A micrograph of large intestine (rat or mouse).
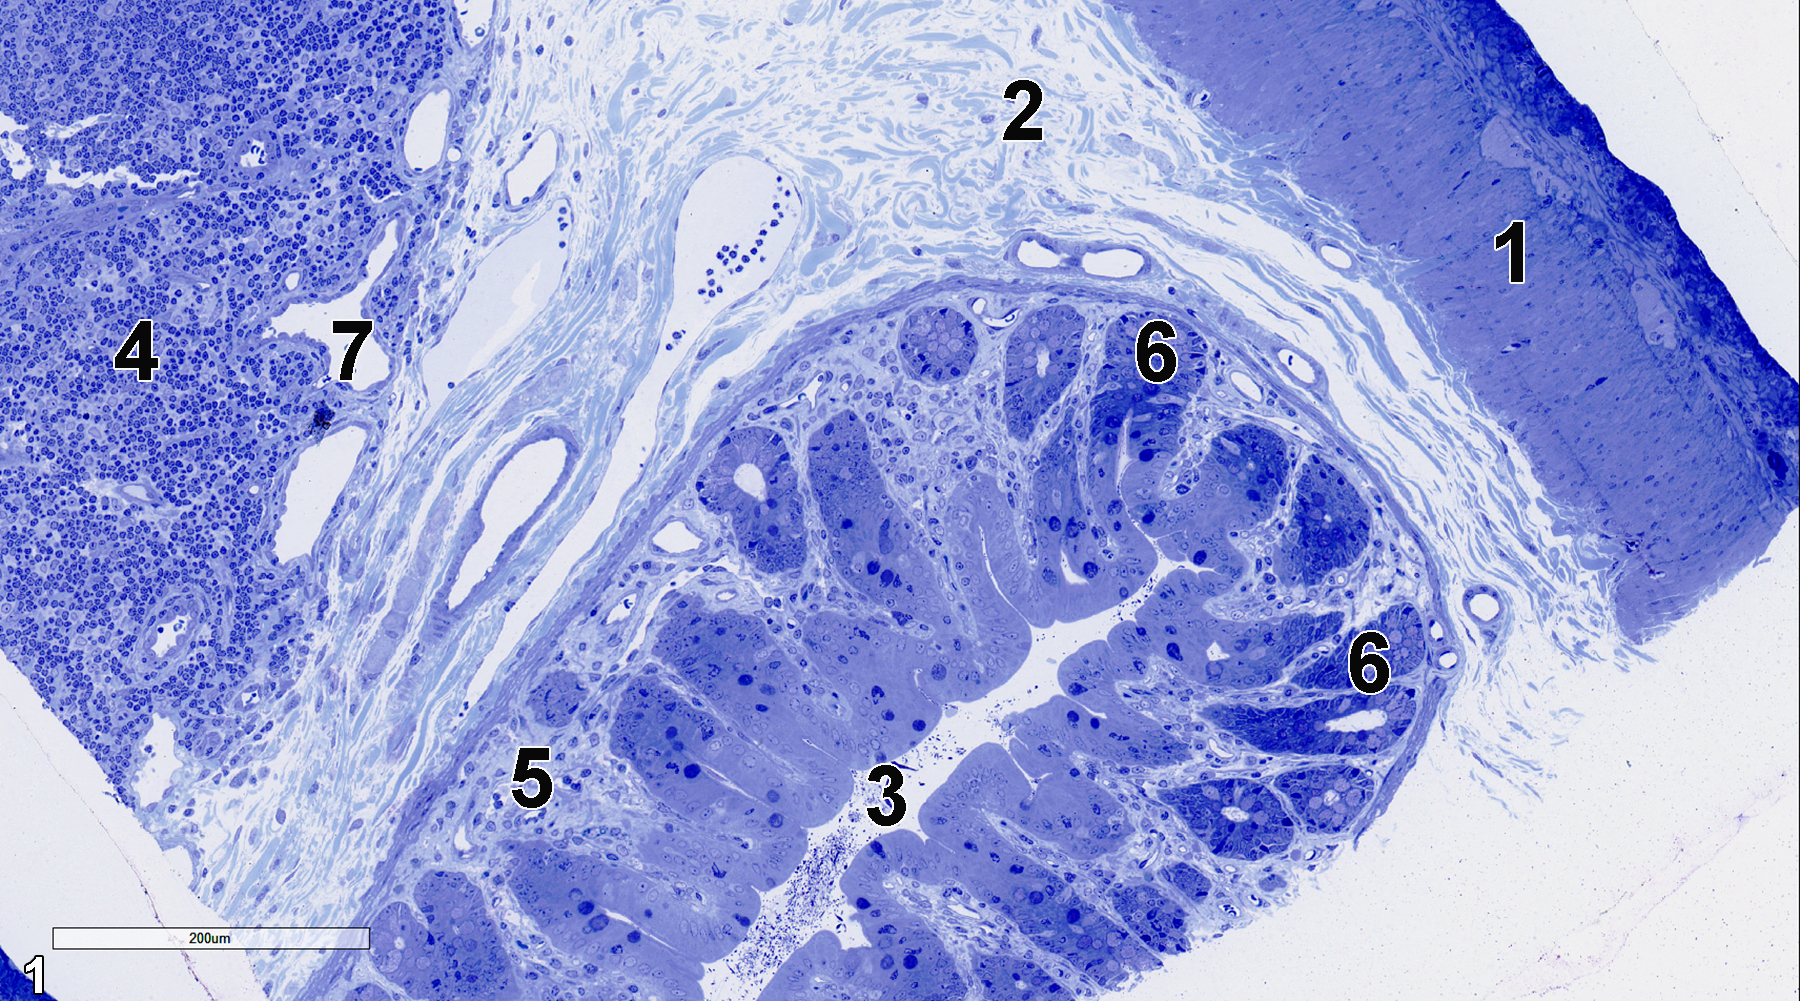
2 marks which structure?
submucosa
